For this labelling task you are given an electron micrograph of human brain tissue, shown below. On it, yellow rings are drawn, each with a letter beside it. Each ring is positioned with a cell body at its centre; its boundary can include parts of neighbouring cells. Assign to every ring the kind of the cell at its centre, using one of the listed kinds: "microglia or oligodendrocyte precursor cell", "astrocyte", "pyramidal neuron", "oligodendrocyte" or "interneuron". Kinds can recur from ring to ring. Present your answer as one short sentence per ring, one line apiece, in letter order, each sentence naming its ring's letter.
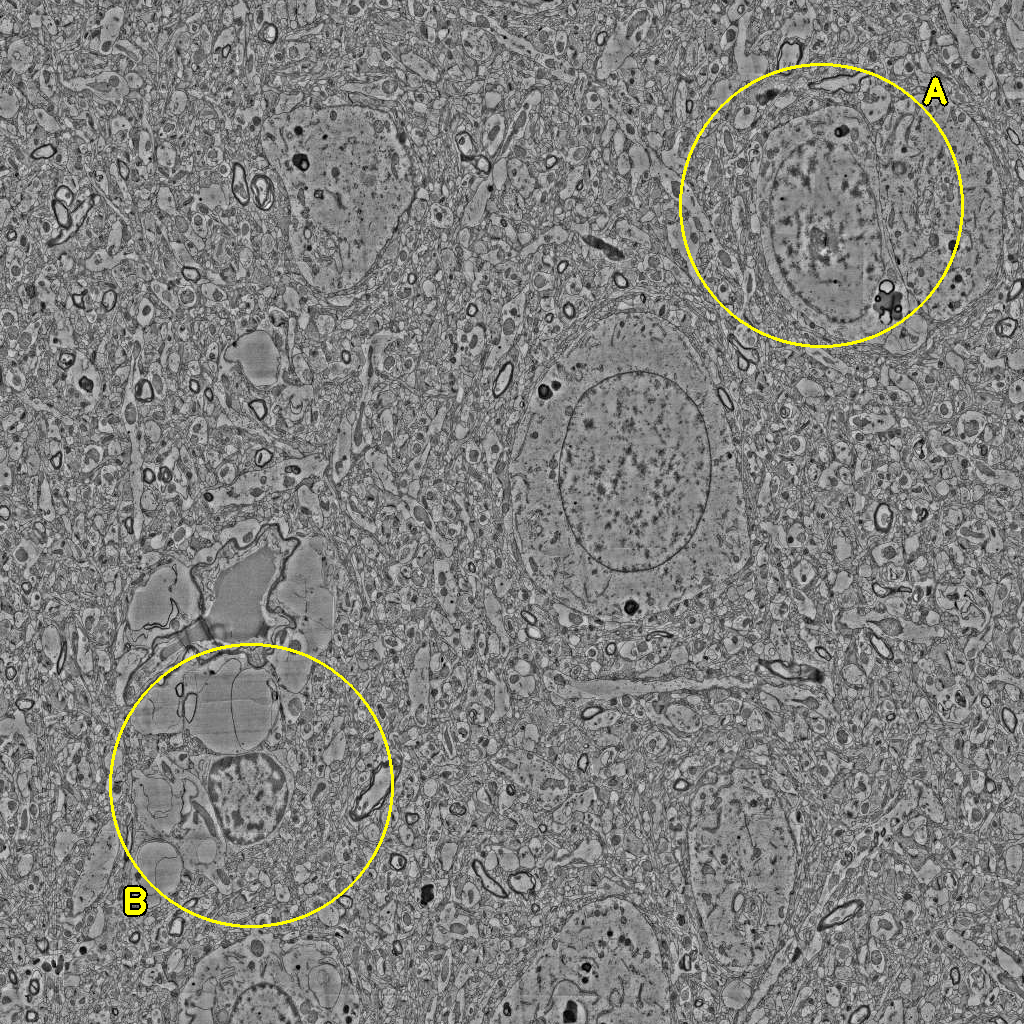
The cell in the middle of ring A is an interneuron.
The cell in the middle of ring B is a microglial cell or oligodendrocyte precursor cell.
